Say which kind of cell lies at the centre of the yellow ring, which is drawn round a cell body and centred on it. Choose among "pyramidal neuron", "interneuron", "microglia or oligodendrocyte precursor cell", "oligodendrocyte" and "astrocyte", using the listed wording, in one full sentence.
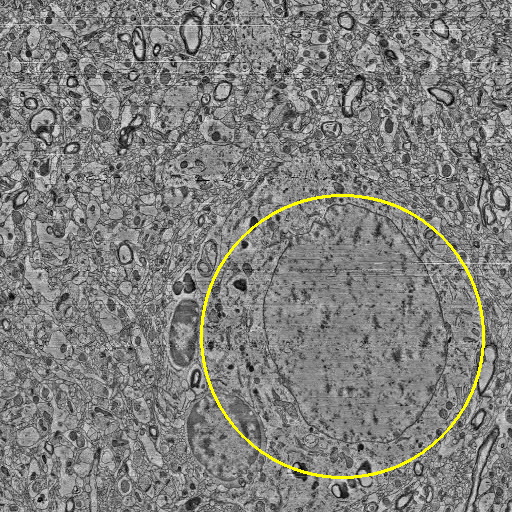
Going by the list, the cell at the yellow ring's centre is a pyramidal neuron.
